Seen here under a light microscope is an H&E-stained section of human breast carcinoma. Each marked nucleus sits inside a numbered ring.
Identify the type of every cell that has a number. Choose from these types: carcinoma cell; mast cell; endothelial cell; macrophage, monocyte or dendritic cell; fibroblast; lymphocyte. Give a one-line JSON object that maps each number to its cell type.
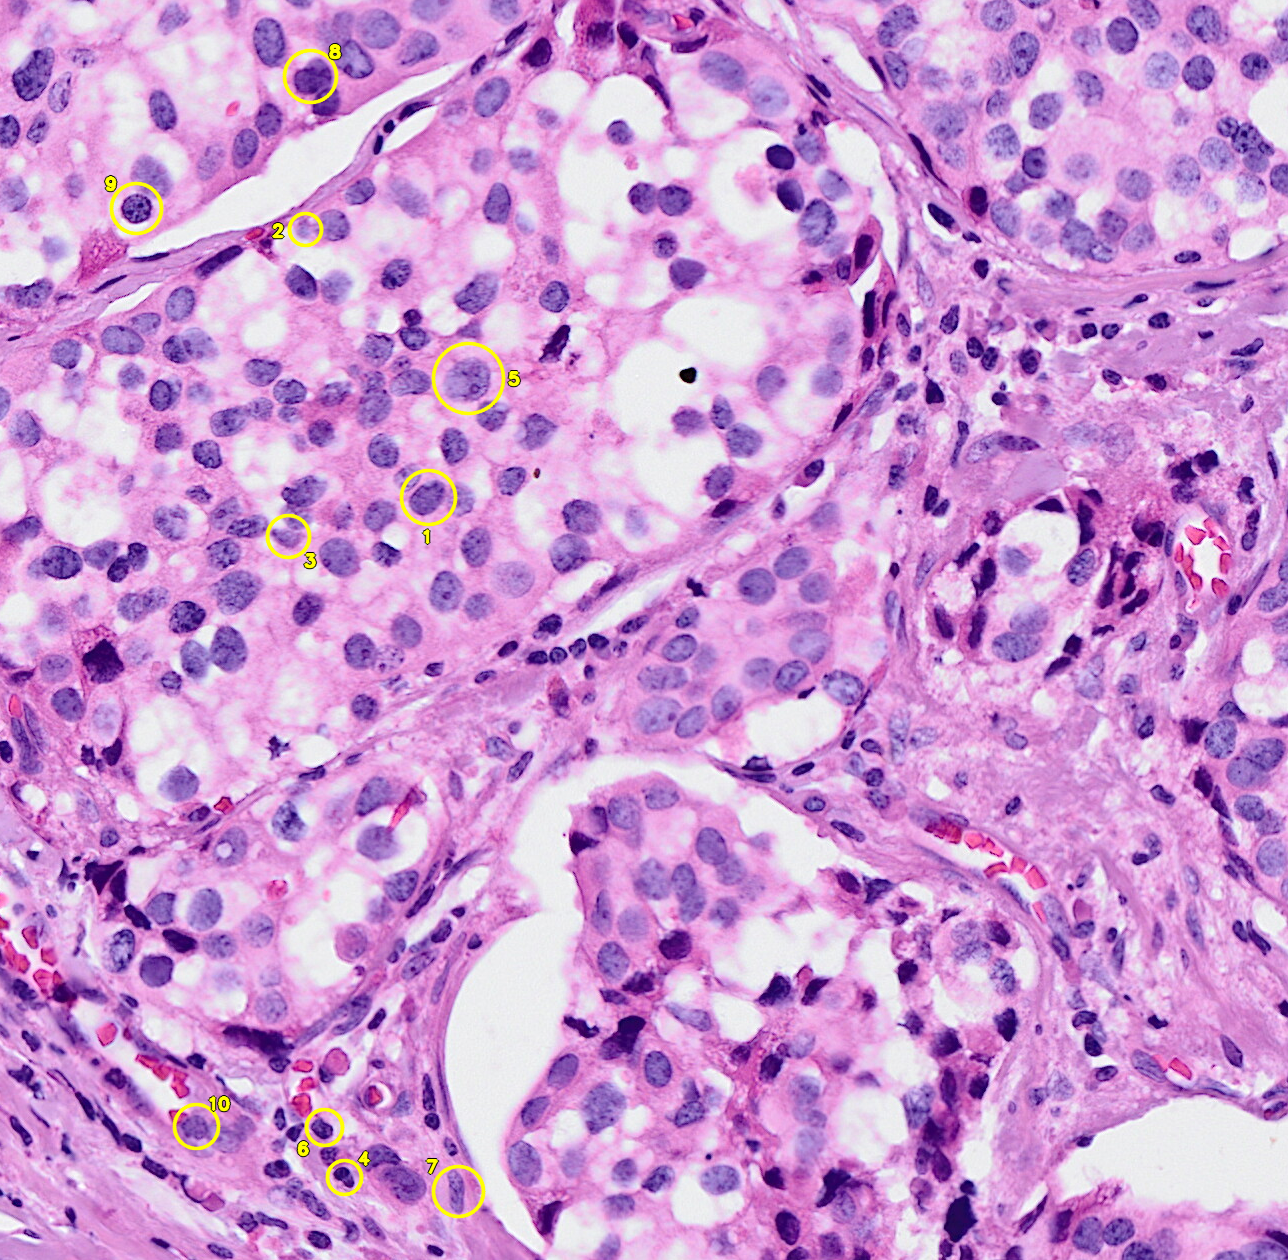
{"1": "carcinoma cell", "2": "carcinoma cell", "3": "carcinoma cell", "4": "lymphocyte", "5": "carcinoma cell", "6": "lymphocyte", "7": "endothelial cell", "8": "carcinoma cell", "9": "carcinoma cell", "10": "endothelial cell"}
